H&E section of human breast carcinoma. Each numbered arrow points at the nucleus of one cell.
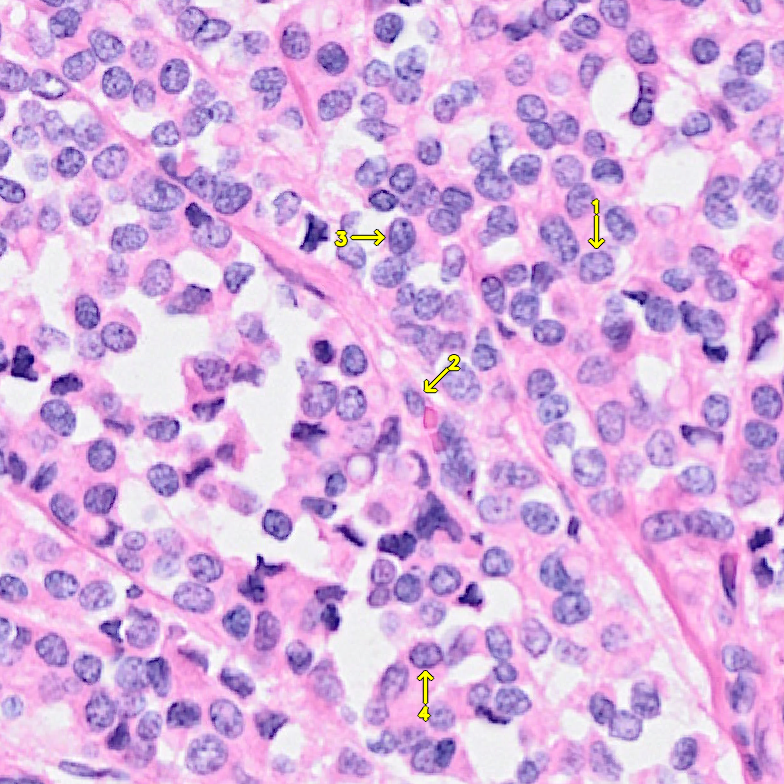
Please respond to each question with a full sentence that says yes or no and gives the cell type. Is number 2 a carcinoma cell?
No, cell 2 is not a carcinoma cell: it is an endothelial cell.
